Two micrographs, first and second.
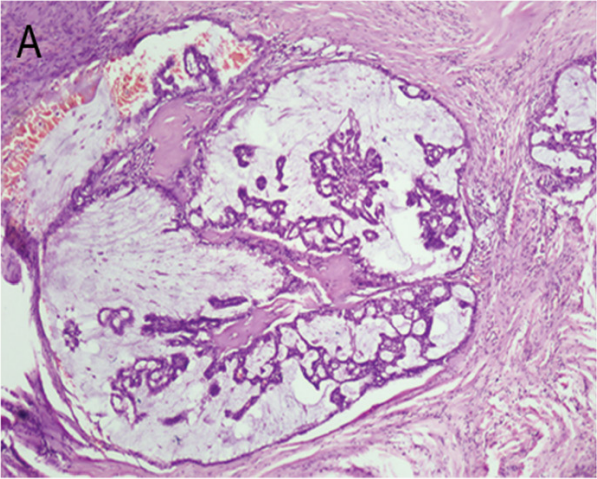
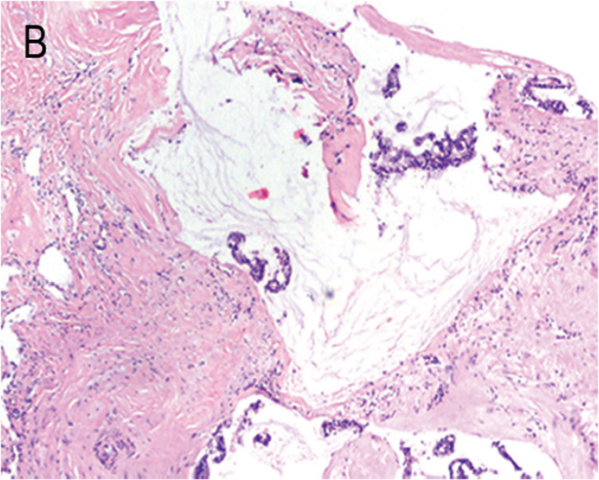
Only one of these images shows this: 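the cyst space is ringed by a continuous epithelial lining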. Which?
The first image.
